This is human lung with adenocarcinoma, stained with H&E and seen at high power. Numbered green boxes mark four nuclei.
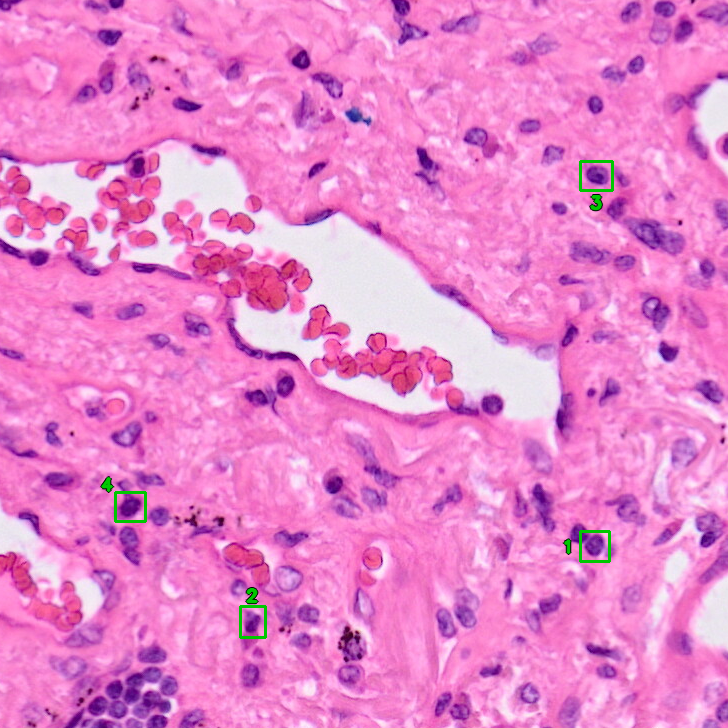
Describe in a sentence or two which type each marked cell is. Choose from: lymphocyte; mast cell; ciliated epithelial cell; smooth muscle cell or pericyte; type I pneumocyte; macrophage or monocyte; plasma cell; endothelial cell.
Cells 1 and 3 are lymphocytes. Cells 2 and 4 are plasma cells.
